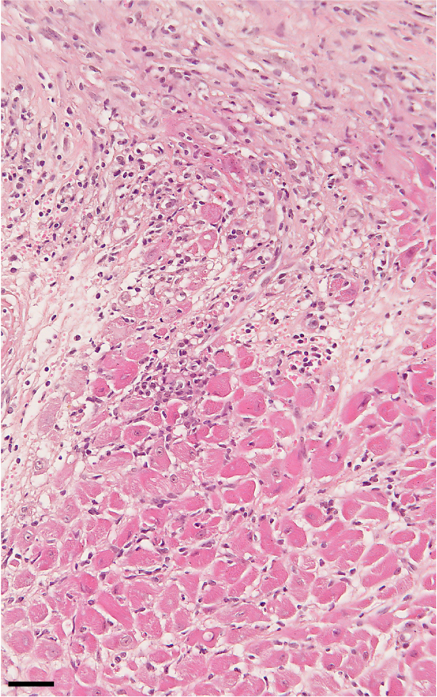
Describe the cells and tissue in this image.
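The muscle fibres are broken up into separate rounded pink fragments, many of them pale and without clear nuclei, while dense collections of small cells with dark round purple nuclei crowd the spaces between them. At the top, the tissue is loose and pale, with scattered spindle-shaped and round cells instead of orderly muscle.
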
